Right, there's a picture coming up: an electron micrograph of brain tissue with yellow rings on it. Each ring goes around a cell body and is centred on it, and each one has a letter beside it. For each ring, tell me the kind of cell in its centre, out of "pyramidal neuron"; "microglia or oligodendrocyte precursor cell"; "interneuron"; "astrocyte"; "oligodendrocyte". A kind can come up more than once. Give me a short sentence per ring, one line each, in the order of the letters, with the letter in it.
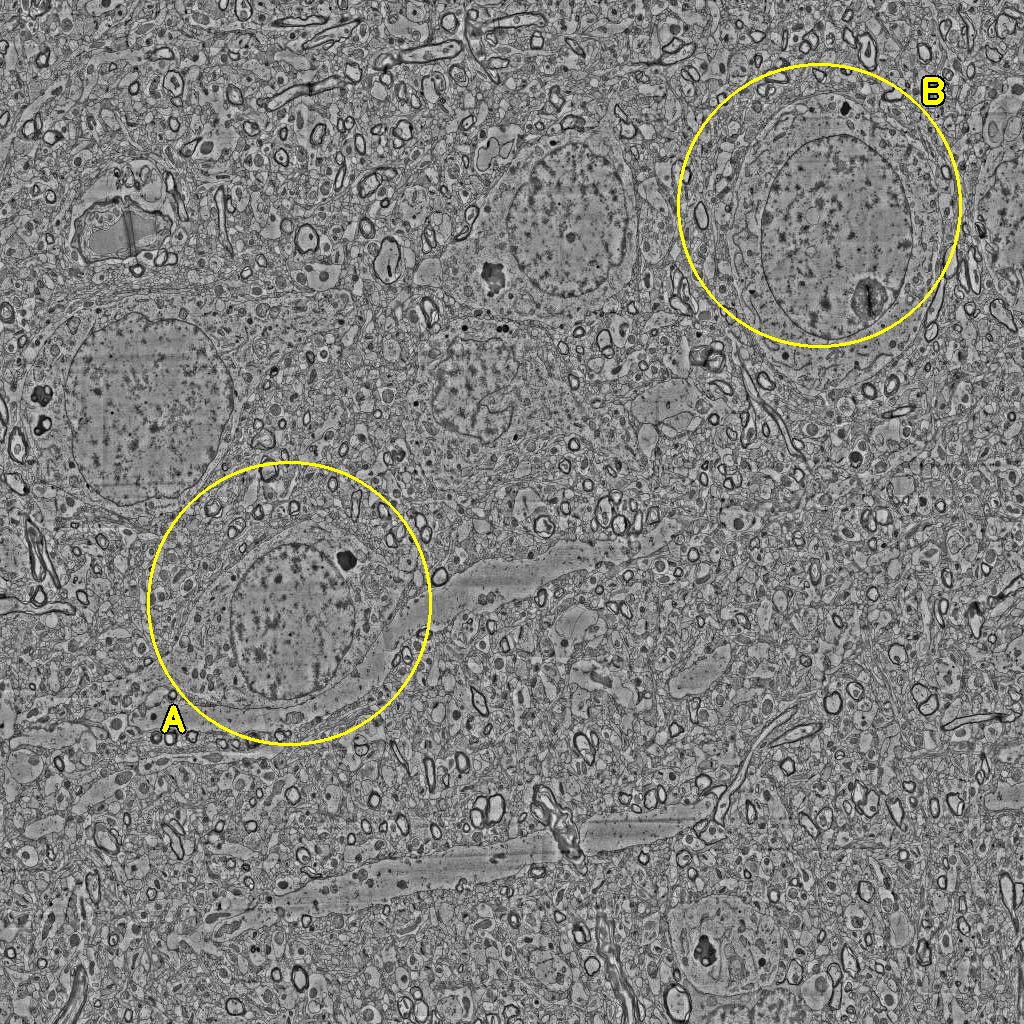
That's an interneuron in ring A.
That's a pyramidal neuron in ring B.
